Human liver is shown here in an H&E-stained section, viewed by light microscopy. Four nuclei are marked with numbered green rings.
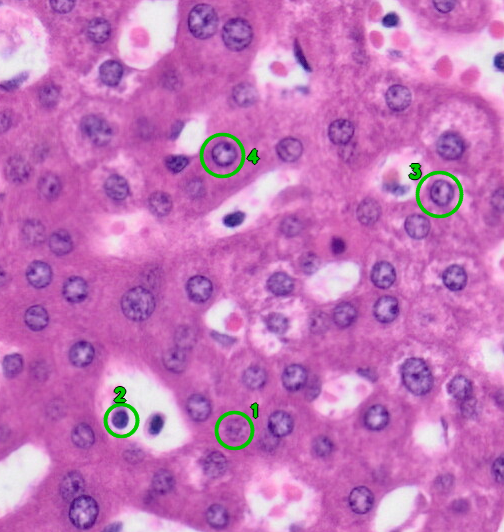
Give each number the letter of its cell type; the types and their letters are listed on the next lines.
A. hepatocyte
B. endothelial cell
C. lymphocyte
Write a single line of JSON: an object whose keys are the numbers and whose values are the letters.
{"1": "A", "2": "C", "3": "A", "4": "A"}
